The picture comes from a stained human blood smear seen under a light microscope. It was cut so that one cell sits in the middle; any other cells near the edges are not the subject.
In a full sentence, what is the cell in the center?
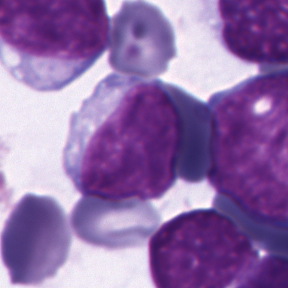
Classified as a myeloblast is the cell in the middle of this crop.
